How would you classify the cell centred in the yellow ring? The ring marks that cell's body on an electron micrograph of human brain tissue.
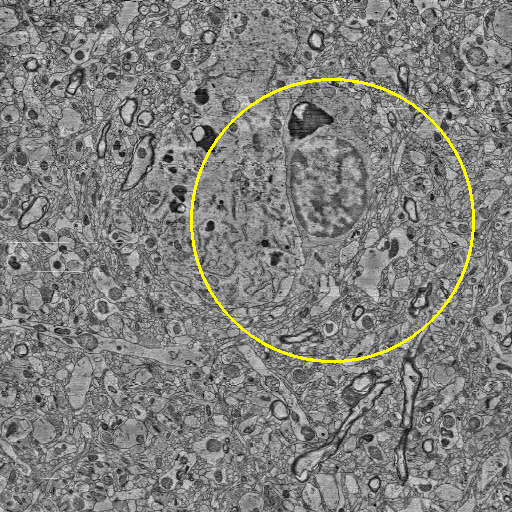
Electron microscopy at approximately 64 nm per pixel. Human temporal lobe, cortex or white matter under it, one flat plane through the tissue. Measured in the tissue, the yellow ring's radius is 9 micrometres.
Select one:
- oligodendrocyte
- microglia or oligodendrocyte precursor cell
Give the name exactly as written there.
oligodendrocyte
